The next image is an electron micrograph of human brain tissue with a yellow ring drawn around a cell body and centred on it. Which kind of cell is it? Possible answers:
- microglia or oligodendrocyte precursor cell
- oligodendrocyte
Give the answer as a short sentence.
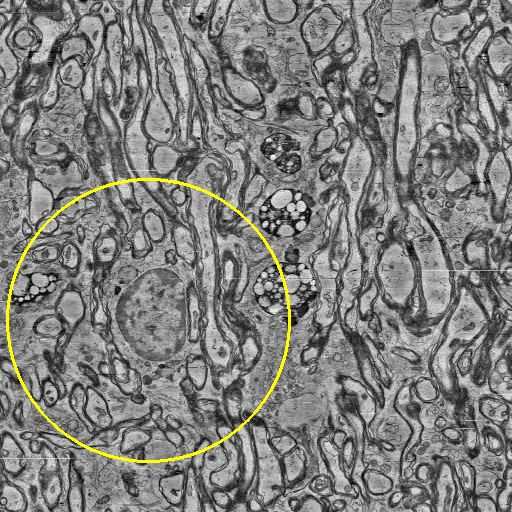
In the ring's centre is a microglial cell or oligodendrocyte precursor cell.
